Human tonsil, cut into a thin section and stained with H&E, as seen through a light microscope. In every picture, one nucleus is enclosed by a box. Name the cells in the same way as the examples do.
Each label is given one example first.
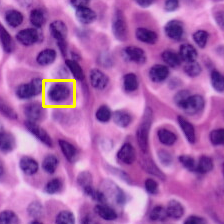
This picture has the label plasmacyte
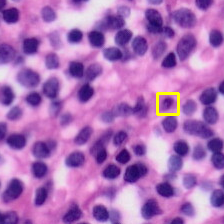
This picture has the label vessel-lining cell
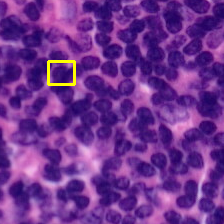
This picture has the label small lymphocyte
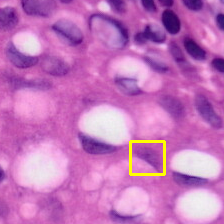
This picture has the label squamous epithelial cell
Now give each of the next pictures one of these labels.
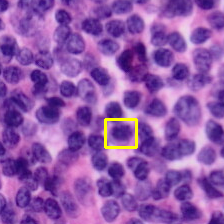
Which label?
small lymphocyte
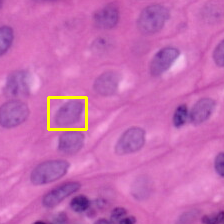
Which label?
squamous epithelial cell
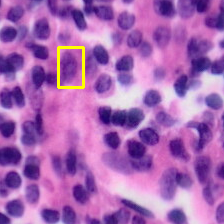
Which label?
vessel-lining cell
